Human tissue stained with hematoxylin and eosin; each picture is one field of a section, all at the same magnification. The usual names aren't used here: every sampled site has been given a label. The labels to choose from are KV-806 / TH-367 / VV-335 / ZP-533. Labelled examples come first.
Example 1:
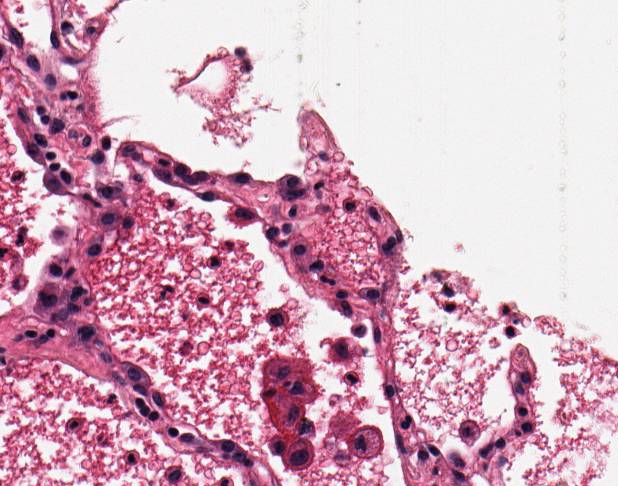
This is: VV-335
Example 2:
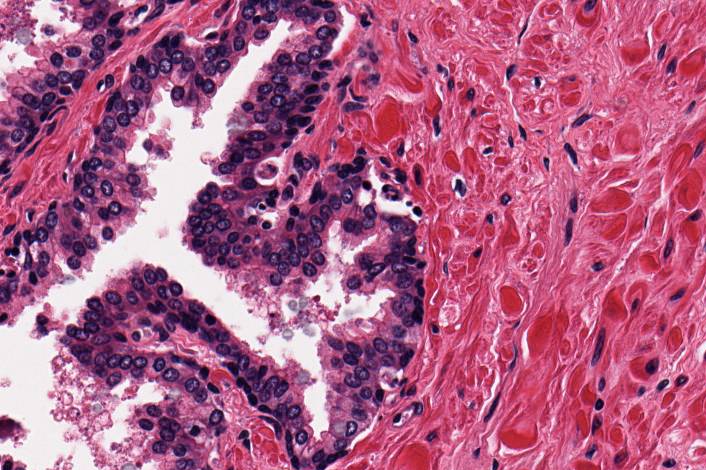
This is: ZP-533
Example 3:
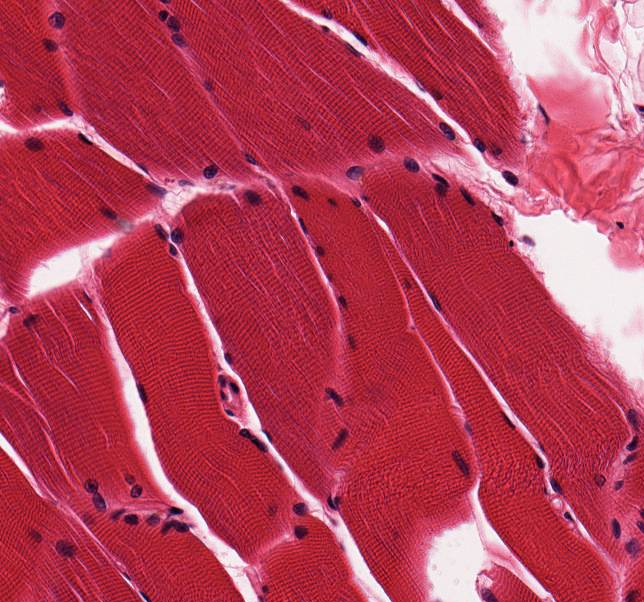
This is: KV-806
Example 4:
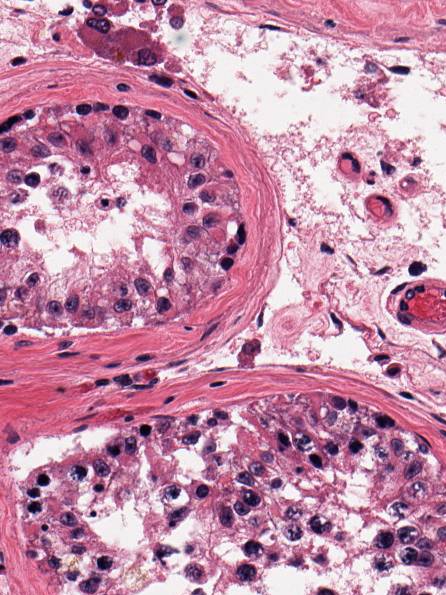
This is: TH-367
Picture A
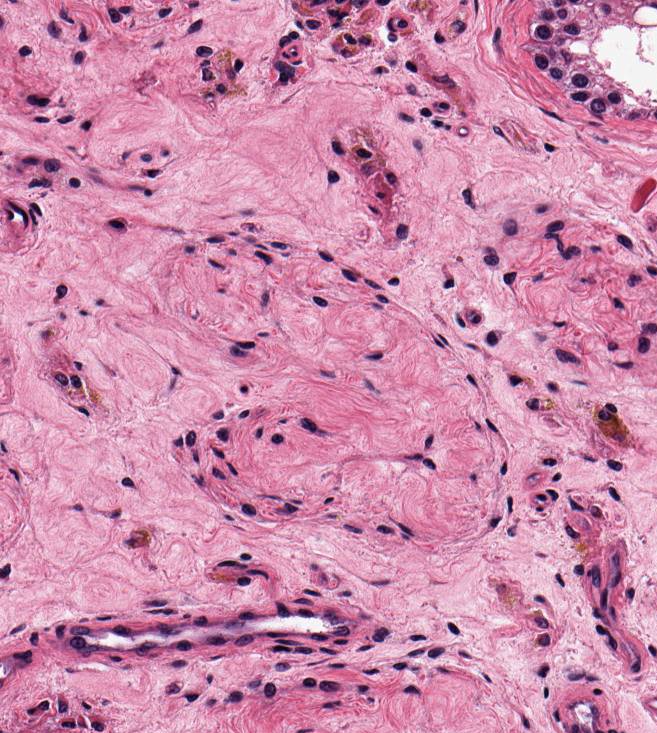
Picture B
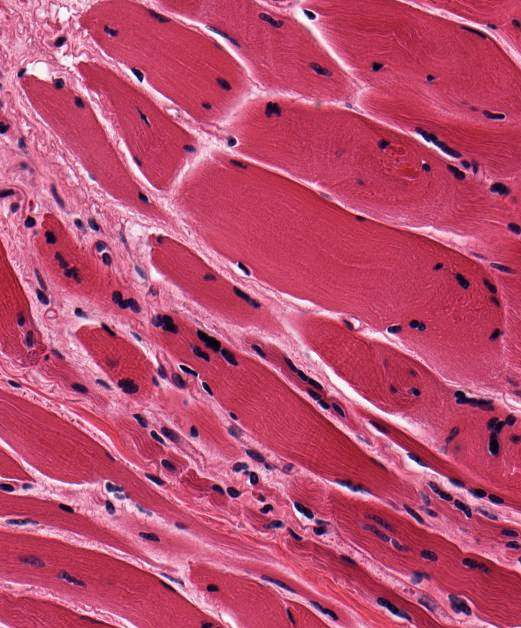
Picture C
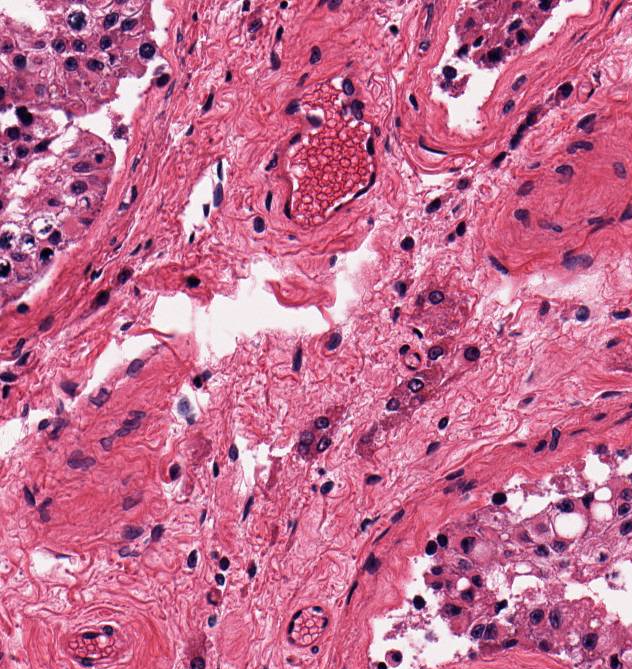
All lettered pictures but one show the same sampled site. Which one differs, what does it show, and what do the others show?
Odd one out: B (KV-806). The rest: TH-367.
